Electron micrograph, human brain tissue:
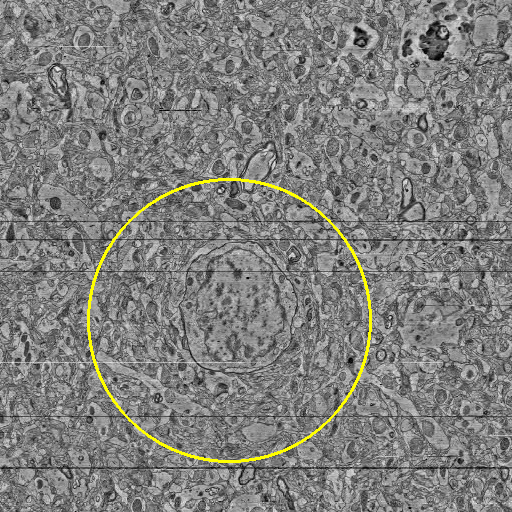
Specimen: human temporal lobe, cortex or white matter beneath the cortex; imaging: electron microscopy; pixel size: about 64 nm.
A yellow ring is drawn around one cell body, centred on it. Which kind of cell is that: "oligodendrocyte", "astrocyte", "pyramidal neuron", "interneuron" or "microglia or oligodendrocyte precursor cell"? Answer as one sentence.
It is an interneuron at the centre of the ring.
